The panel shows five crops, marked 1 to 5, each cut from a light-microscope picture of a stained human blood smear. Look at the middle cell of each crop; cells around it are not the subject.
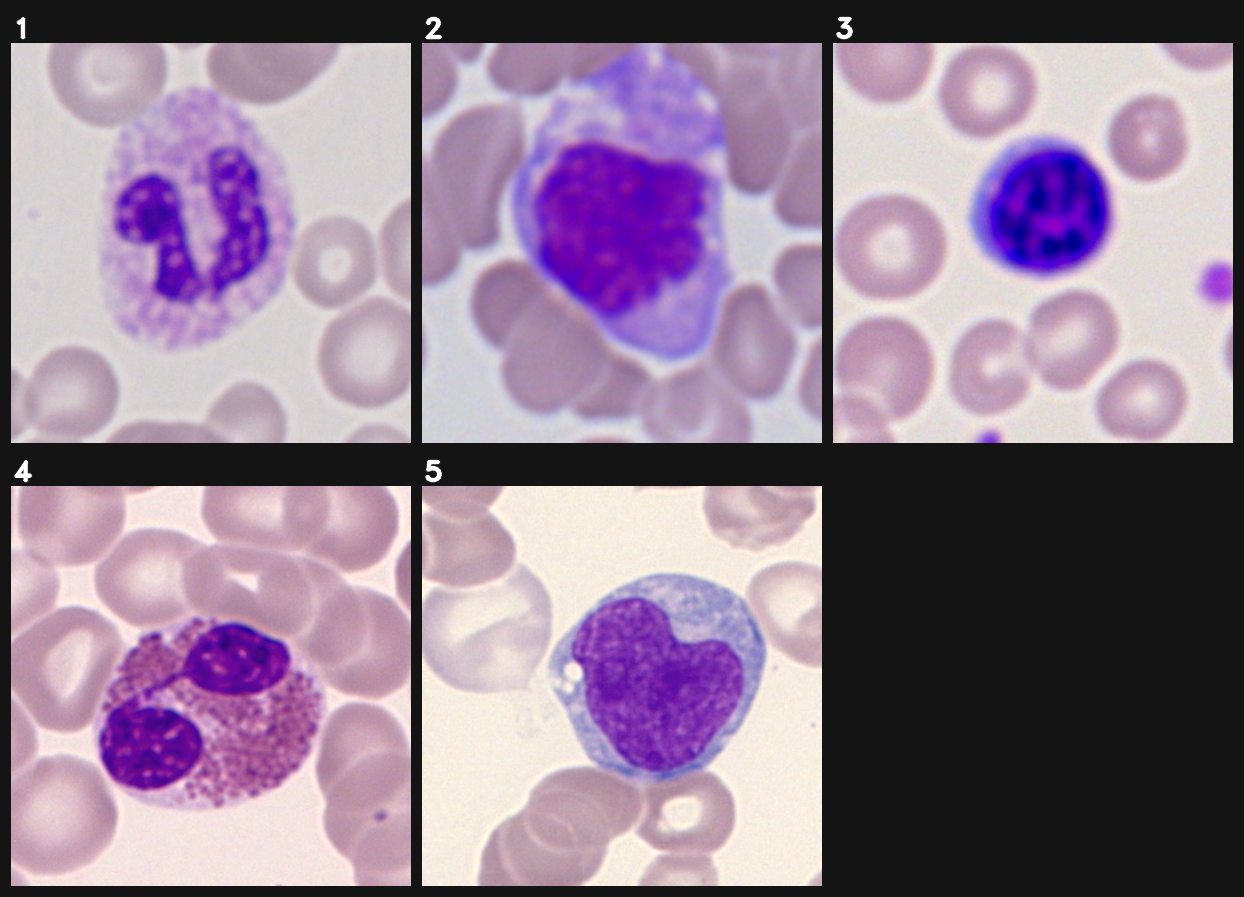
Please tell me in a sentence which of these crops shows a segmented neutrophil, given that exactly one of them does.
The cell identified as a segmented neutrophil is the one in crop 1.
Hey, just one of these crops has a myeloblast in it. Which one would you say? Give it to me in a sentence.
Crop 5, of the crops presented, is the one showing a myeloblast.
